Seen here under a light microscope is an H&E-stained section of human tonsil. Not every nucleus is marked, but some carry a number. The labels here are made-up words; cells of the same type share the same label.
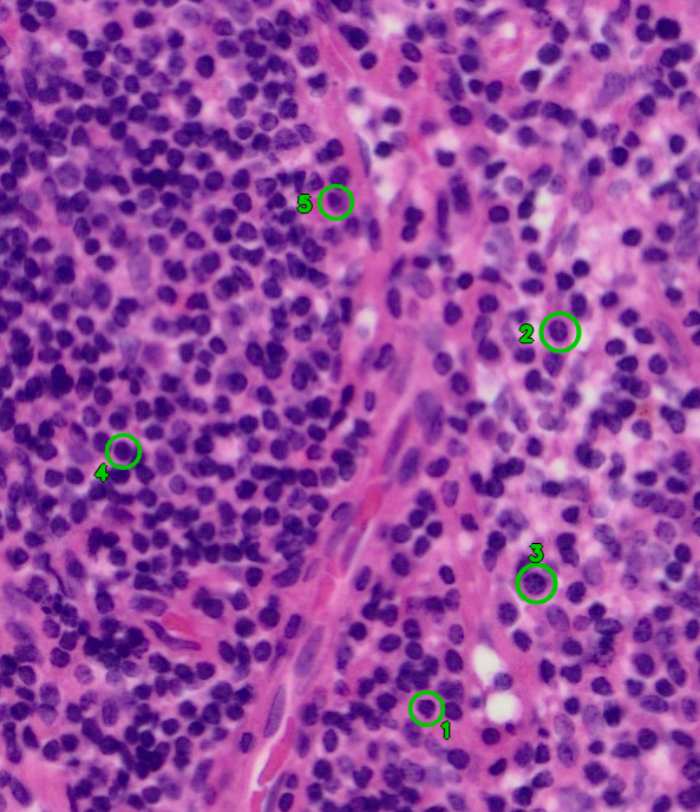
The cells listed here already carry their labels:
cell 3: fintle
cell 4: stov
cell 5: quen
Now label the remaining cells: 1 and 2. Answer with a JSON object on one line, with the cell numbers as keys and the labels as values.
{"1": "stov", "2": "fintle"}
